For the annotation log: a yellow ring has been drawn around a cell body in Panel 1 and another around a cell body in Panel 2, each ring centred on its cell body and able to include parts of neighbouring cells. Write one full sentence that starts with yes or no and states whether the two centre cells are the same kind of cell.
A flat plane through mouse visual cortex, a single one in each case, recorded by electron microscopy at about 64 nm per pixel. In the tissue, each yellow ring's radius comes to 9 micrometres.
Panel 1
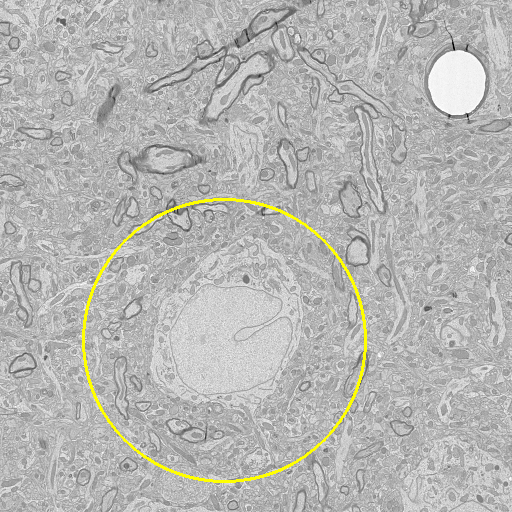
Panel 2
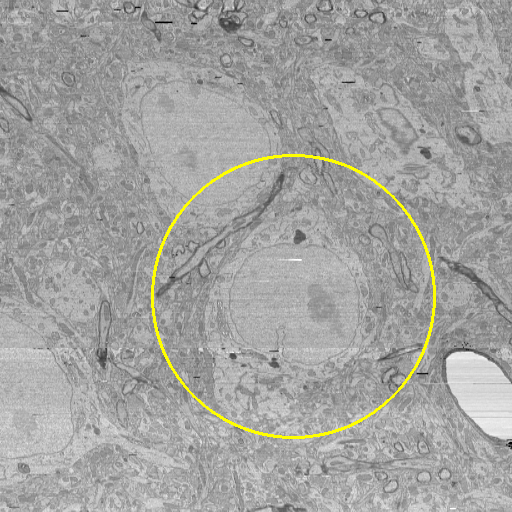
Yes, the two centre cells are the same kind of cell.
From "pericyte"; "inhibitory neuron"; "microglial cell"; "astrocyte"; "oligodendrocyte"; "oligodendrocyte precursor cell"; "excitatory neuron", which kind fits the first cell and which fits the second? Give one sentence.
Each of the ringed cells, first and second, is an excitatory neuron.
